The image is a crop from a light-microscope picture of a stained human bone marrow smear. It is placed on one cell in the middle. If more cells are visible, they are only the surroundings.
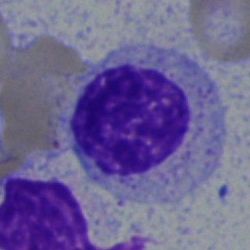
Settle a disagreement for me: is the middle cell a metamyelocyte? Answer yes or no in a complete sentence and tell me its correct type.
No, the cell placed at the center is a myelocyte rather than a metamyelocyte.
